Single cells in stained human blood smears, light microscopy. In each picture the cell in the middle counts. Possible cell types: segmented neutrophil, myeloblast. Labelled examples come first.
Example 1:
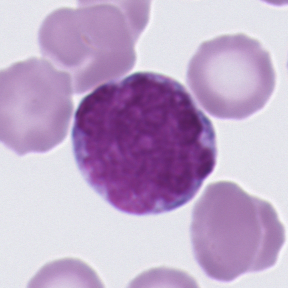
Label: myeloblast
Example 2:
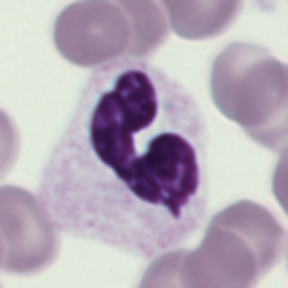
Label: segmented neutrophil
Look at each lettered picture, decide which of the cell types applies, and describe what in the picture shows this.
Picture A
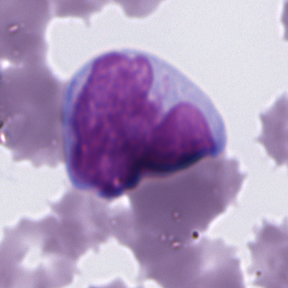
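myeloblast: The nucleus fills most of the cell.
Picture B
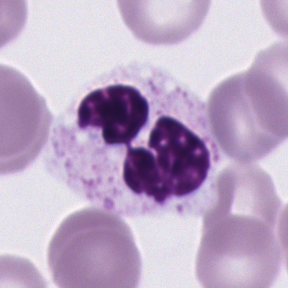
segmented neutrophil: The cytoplasm is pale and nearly colourless.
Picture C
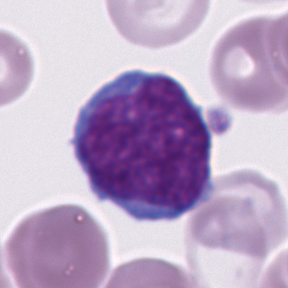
myeloblast: The cytoplasm is blue.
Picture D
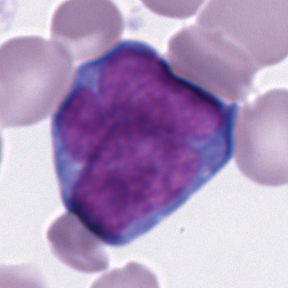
myeloblast: The cytoplasm forms only a narrow rim around the nucleus.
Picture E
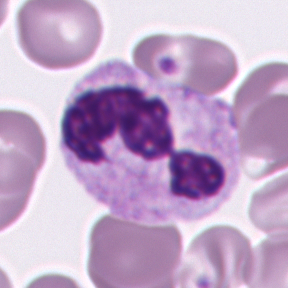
segmented neutrophil: The cytoplasm is plentiful and pale pinkish-lilac.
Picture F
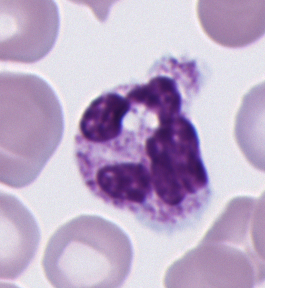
segmented neutrophil: The cytoplasm is pale pinkish-lilac rather than blue.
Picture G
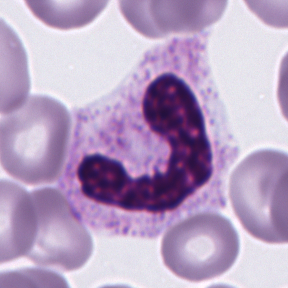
segmented neutrophil: The cytoplasm is abundant and pale lilac.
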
